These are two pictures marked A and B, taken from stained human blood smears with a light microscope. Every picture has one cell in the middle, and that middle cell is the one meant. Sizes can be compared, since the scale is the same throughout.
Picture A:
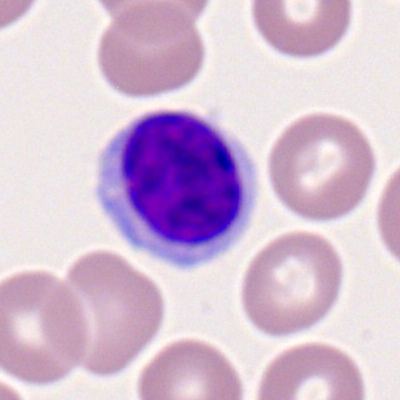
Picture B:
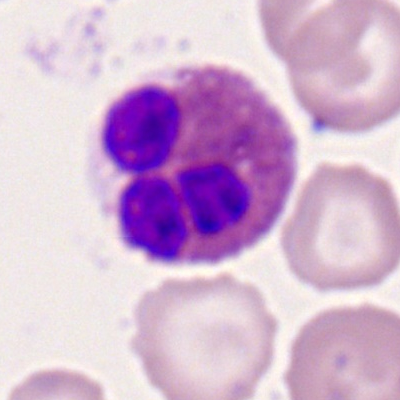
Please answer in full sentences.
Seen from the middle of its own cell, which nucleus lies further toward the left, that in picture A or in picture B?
The nucleus in picture B lies further toward the left of its cell.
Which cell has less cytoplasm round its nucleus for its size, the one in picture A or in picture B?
It is the cell in picture A that is filled more by its nucleus.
